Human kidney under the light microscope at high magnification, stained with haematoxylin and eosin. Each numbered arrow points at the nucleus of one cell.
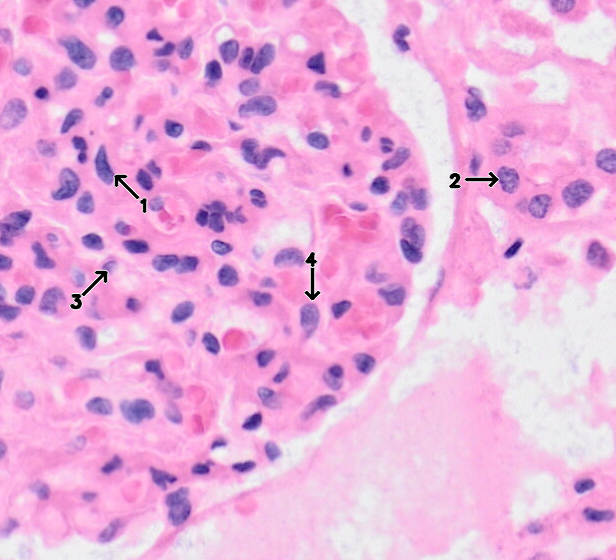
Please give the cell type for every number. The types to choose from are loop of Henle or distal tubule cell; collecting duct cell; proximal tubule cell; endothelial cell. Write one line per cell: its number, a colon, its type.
1: endothelial cell
2: collecting duct cell
3: endothelial cell
4: endothelial cell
